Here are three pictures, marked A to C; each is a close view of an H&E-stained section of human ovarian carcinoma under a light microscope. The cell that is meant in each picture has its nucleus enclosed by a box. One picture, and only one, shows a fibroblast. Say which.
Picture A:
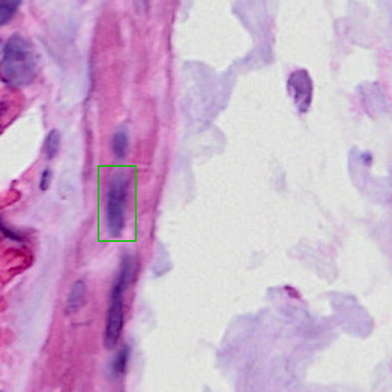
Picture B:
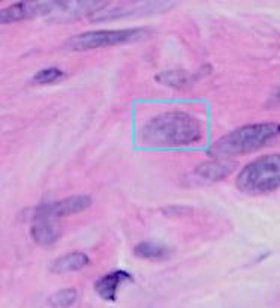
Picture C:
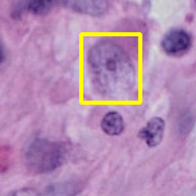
C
